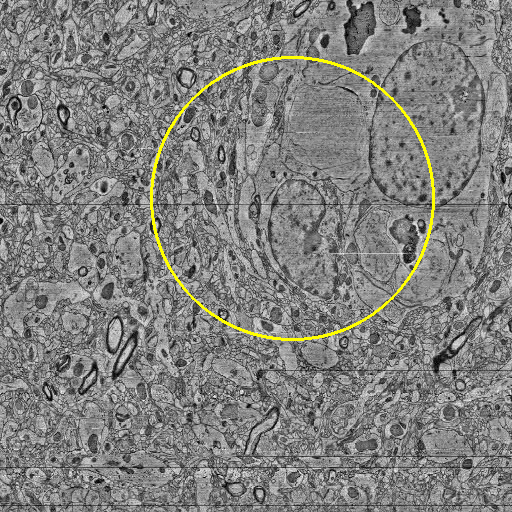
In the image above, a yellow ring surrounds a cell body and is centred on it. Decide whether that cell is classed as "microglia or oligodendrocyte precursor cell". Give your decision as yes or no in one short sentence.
Yes, it is classed as that kind.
